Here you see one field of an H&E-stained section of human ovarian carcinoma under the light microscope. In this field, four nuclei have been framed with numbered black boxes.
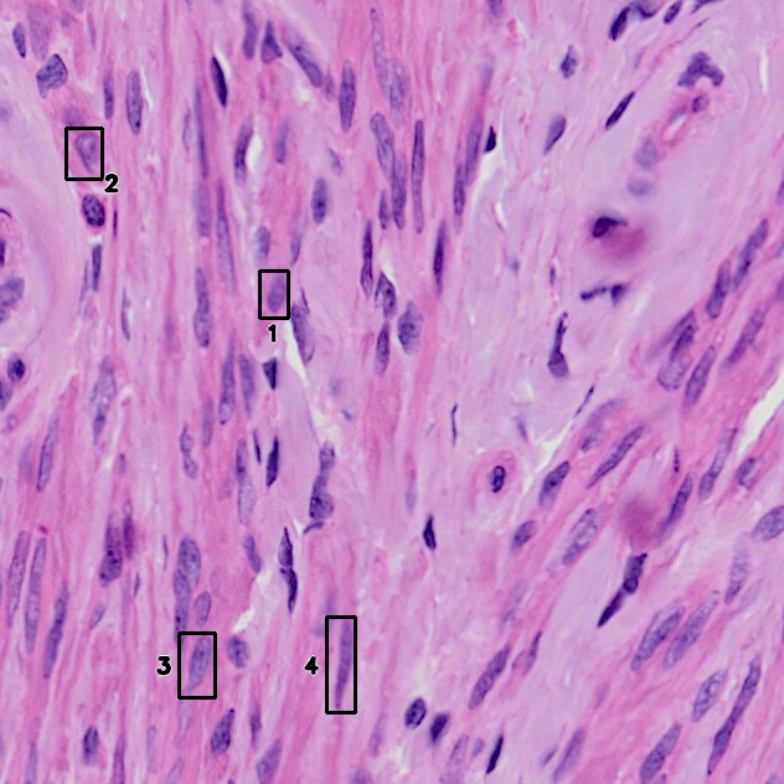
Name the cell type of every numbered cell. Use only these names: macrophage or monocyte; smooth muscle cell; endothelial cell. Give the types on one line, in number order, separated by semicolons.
smooth muscle cell; endothelial cell; smooth muscle cell; smooth muscle cell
